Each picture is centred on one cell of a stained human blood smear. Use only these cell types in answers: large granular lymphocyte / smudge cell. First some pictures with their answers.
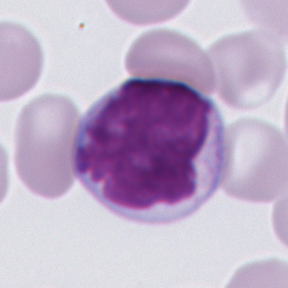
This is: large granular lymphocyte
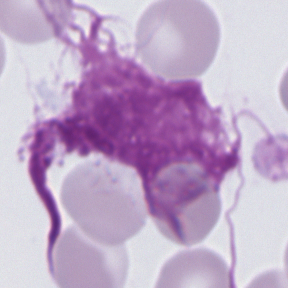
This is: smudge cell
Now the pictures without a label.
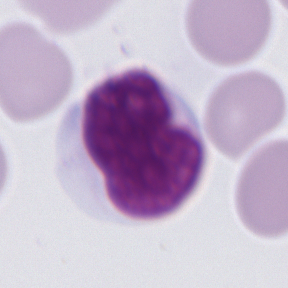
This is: large granular lymphocyte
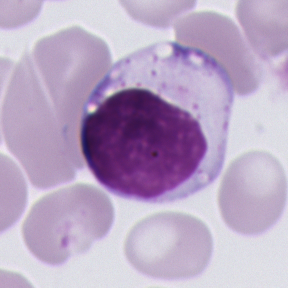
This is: large granular lymphocyte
